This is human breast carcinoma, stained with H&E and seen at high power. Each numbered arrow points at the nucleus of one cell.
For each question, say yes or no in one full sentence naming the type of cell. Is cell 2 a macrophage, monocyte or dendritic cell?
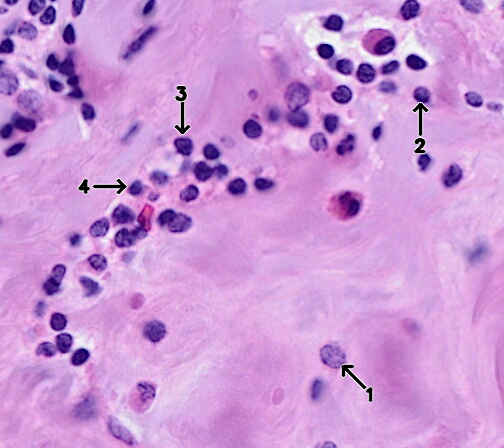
No, the nucleus numbered 2 belongs to a lymphocyte, not a macrophage, monocyte or dendritic cell.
